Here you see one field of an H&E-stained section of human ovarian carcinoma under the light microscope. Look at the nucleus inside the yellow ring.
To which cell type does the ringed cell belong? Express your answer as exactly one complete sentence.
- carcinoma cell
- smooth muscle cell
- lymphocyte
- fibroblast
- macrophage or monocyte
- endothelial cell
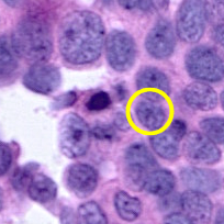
As to its cell type, the ringed cell is a carcinoma cell.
